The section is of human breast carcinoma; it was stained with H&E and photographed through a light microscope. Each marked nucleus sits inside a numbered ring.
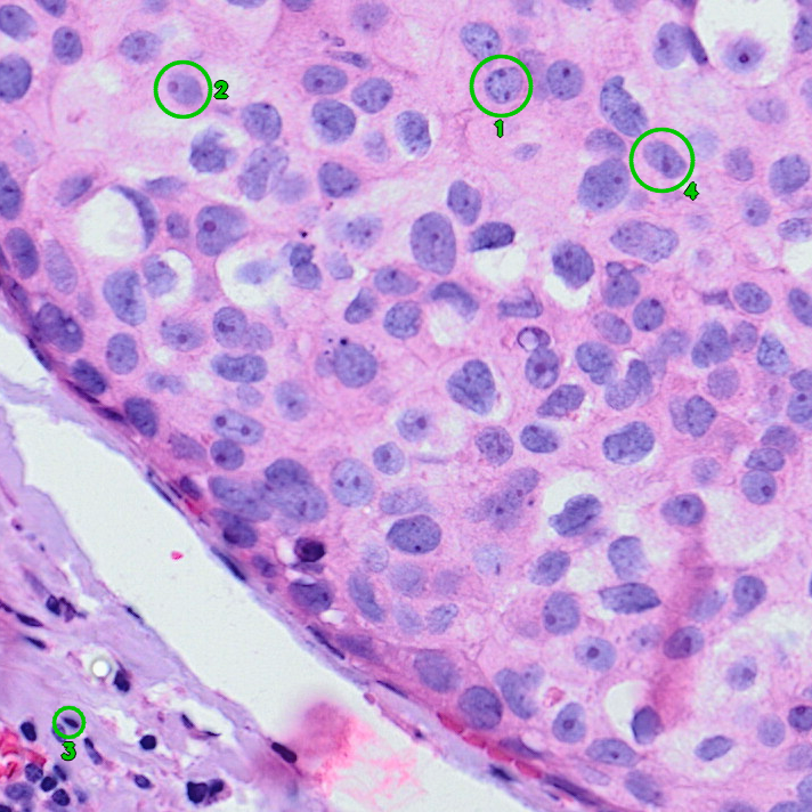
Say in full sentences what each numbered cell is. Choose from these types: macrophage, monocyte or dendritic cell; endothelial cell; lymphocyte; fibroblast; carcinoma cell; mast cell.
Cell 1 is a carcinoma cell, cell 2 is a carcinoma cell, cell 3 is a lymphocyte and cell 4 is a carcinoma cell.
